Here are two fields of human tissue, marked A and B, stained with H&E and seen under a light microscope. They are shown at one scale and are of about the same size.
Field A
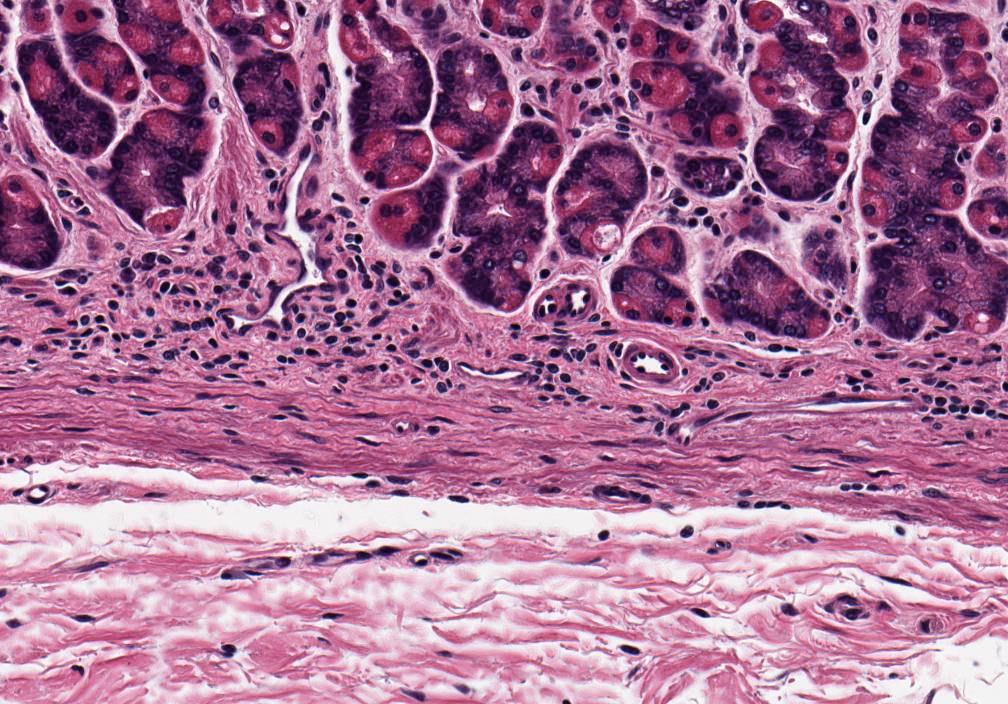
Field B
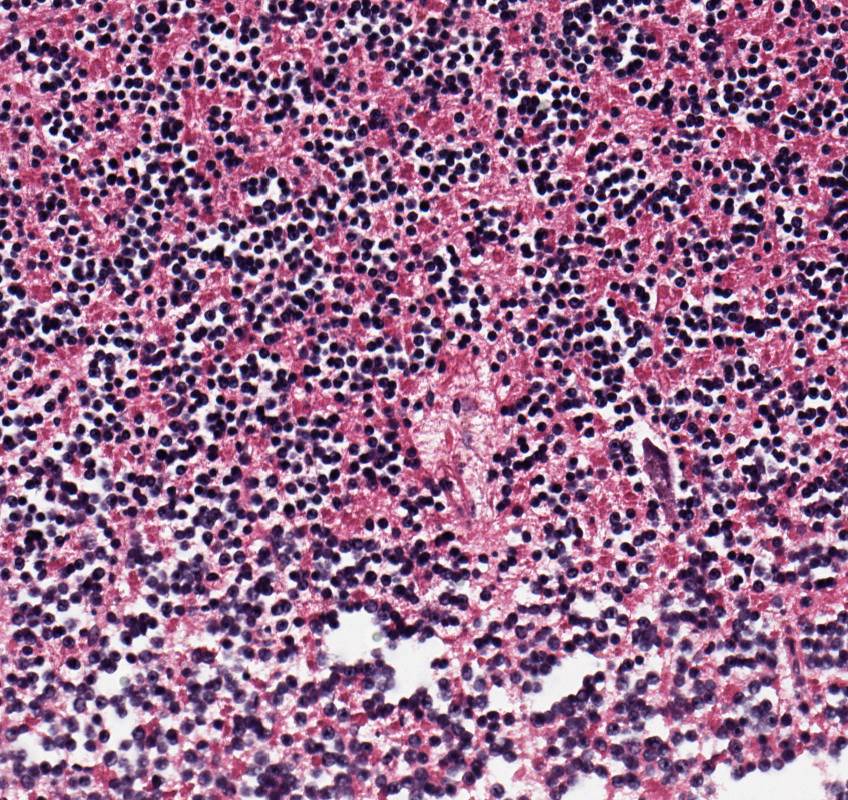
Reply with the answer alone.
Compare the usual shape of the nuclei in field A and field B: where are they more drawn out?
A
